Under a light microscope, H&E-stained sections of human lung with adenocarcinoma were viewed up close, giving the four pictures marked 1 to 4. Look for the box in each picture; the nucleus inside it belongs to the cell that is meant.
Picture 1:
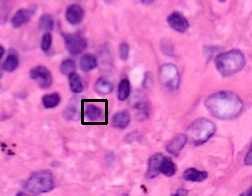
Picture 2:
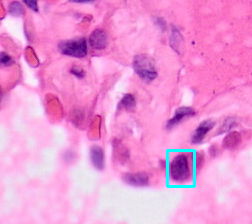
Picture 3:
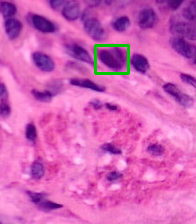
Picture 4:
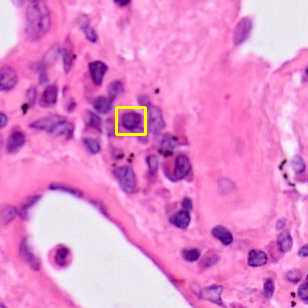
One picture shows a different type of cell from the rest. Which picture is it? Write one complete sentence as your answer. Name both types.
The different one is picture 1; it shows a lymphocyte, whereas all the others show plasma cells.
